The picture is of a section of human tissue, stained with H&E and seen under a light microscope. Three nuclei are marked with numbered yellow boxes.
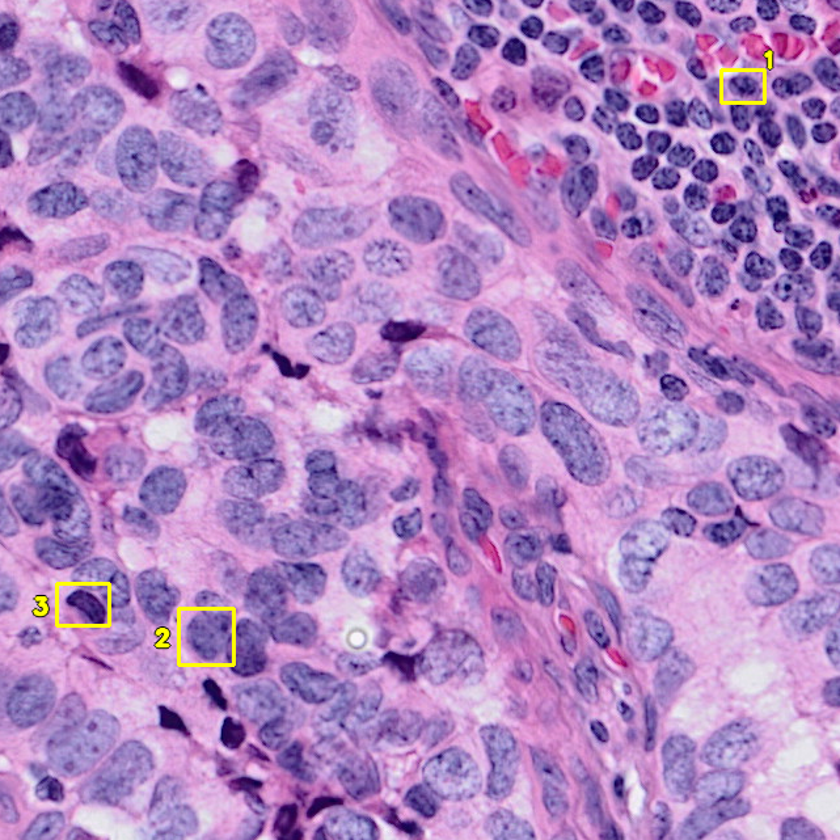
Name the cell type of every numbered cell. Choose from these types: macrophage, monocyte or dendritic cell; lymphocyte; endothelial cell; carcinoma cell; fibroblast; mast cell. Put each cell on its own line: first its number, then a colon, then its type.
1: lymphocyte
2: carcinoma cell
3: carcinoma cell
